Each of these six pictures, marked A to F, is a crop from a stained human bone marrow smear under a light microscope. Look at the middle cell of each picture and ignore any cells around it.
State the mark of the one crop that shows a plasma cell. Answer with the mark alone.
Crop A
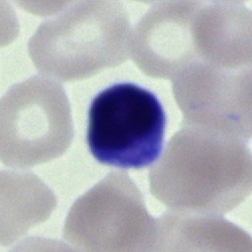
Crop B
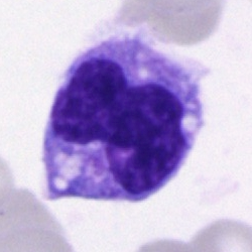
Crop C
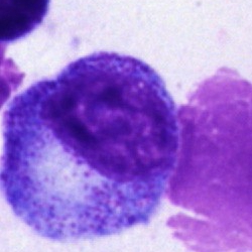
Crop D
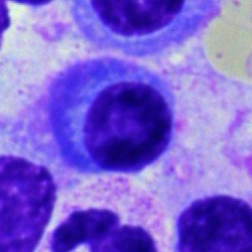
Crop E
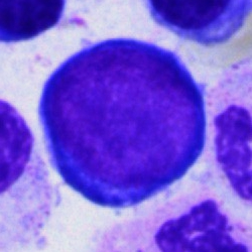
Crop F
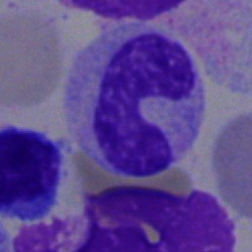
D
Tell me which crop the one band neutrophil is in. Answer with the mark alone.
F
